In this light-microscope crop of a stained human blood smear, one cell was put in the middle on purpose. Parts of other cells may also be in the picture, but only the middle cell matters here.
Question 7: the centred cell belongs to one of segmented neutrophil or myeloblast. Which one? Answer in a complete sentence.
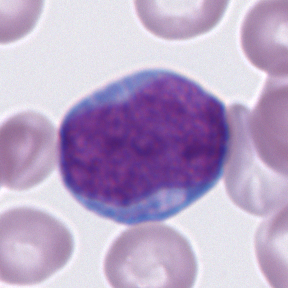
Here the cell in the middle is a myeloblast.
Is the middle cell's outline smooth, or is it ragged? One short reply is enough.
If you check the edge, you will find it smooth without projections.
